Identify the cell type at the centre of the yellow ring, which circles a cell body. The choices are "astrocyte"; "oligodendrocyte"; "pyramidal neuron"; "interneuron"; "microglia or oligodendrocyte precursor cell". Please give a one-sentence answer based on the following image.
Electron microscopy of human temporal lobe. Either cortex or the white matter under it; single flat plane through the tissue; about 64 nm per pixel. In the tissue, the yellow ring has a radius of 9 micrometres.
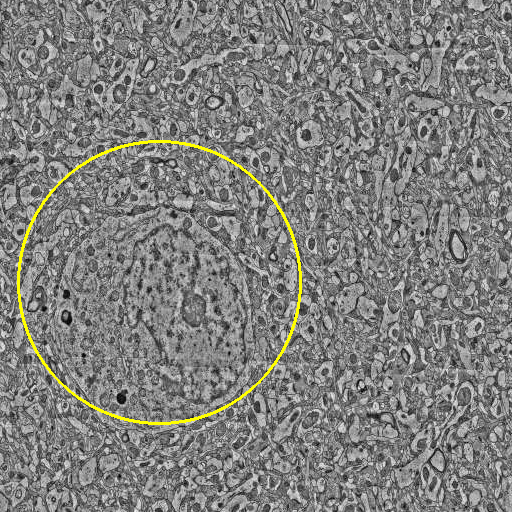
The cell marked by the ring is an interneuron.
